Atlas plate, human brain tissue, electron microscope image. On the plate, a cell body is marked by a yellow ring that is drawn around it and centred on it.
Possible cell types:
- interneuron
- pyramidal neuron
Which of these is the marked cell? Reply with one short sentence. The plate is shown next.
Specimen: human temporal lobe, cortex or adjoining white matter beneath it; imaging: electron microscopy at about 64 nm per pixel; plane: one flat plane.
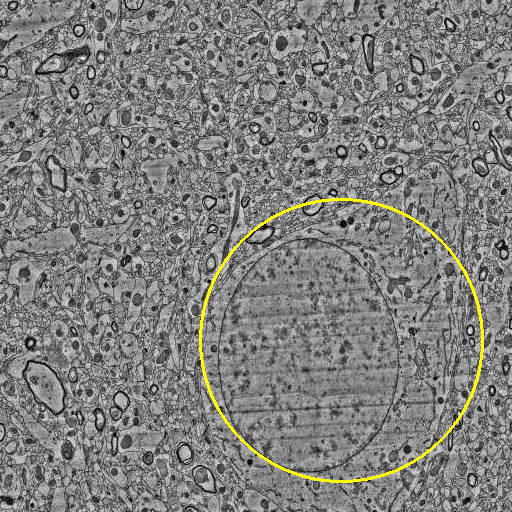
The marked cell is a pyramidal neuron.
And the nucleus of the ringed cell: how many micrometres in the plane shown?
The nucleus works out at approximately 15 by 12 micrometres in this plane.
